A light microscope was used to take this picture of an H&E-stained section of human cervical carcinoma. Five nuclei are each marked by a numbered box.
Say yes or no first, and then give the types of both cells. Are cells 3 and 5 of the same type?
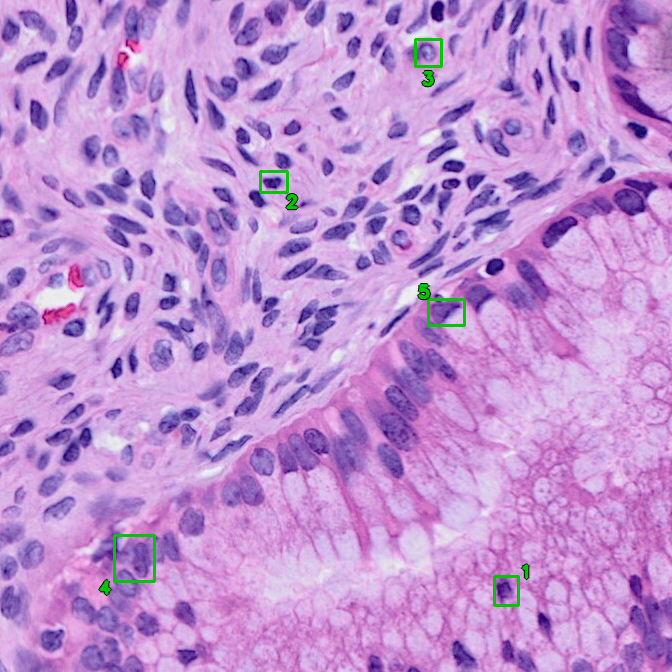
No, that's off: cell 3 is an endothelial cell and cell 5 is a secretory epithelial cell.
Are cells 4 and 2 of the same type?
No, the right answer is a secretory epithelial cell for cell 4 and a fibroblast for cell 2.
